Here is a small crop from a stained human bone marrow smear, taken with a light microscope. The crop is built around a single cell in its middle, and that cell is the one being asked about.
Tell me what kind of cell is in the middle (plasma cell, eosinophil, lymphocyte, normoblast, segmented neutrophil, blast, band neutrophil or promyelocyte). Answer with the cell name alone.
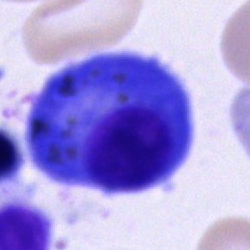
plasma cell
